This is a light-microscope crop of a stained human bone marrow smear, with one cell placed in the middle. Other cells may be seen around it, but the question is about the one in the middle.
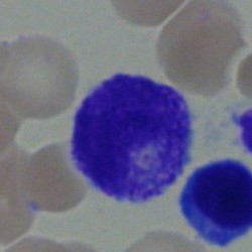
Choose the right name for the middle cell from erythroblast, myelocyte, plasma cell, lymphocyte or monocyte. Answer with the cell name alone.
myelocyte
